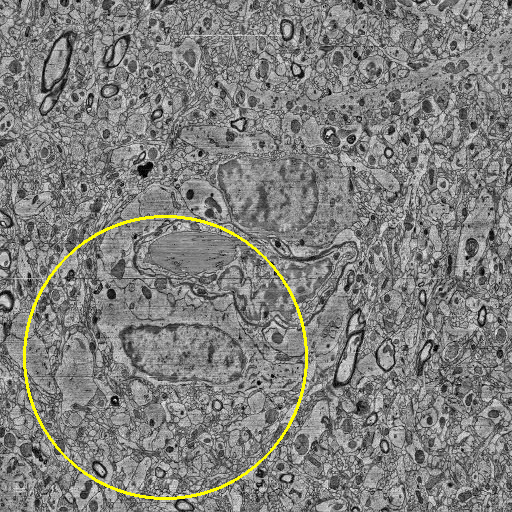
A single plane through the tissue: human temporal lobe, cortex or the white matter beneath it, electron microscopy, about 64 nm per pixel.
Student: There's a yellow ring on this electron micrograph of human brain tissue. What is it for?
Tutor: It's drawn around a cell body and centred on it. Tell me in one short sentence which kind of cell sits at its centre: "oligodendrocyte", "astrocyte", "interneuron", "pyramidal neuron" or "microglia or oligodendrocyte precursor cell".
The cell at the centre of the ring is a microglial cell or oligodendrocyte precursor cell.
